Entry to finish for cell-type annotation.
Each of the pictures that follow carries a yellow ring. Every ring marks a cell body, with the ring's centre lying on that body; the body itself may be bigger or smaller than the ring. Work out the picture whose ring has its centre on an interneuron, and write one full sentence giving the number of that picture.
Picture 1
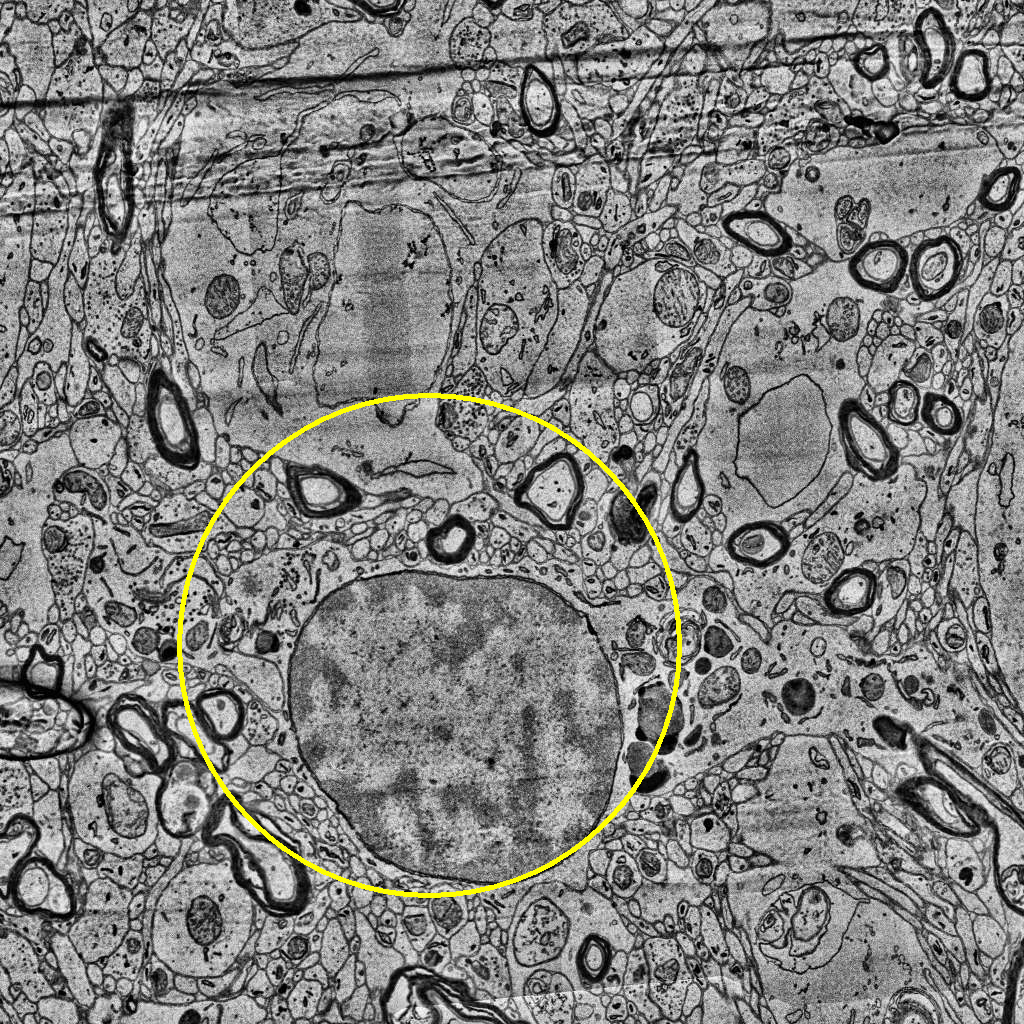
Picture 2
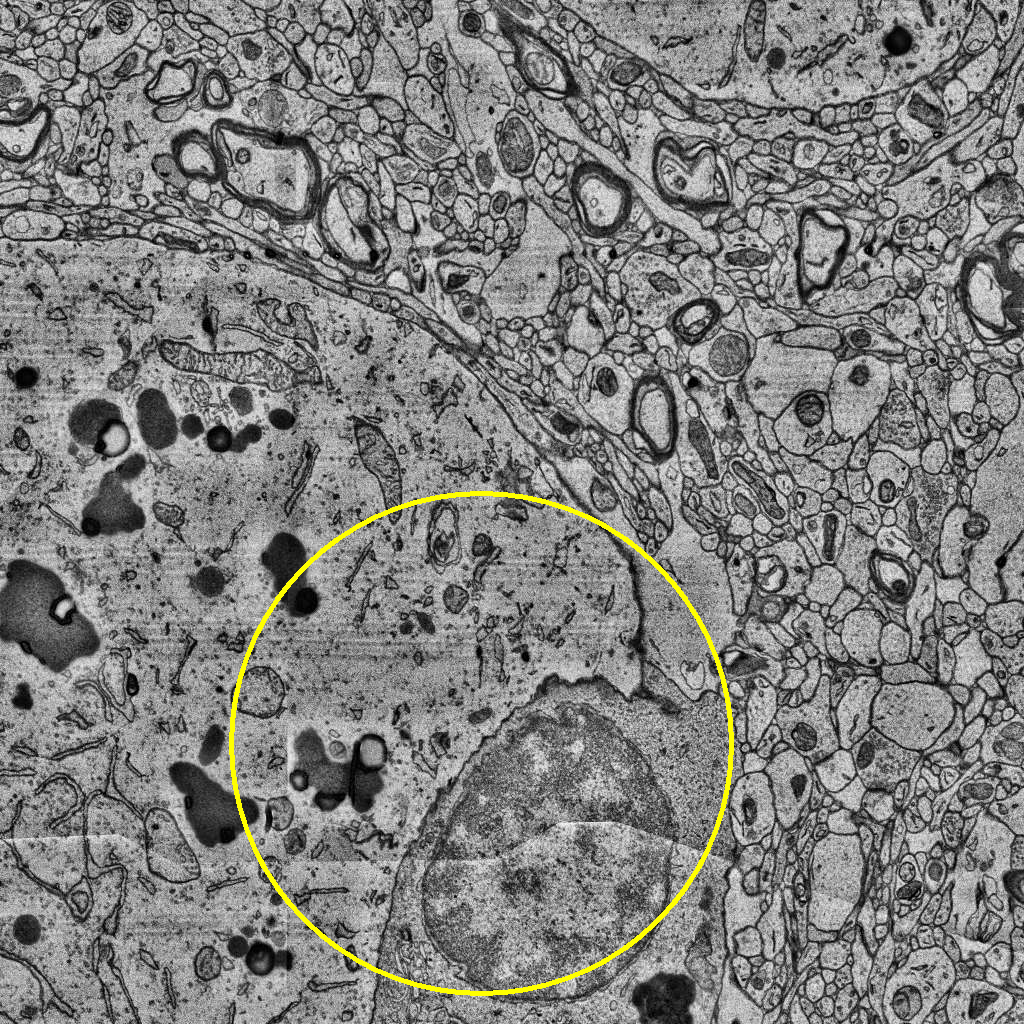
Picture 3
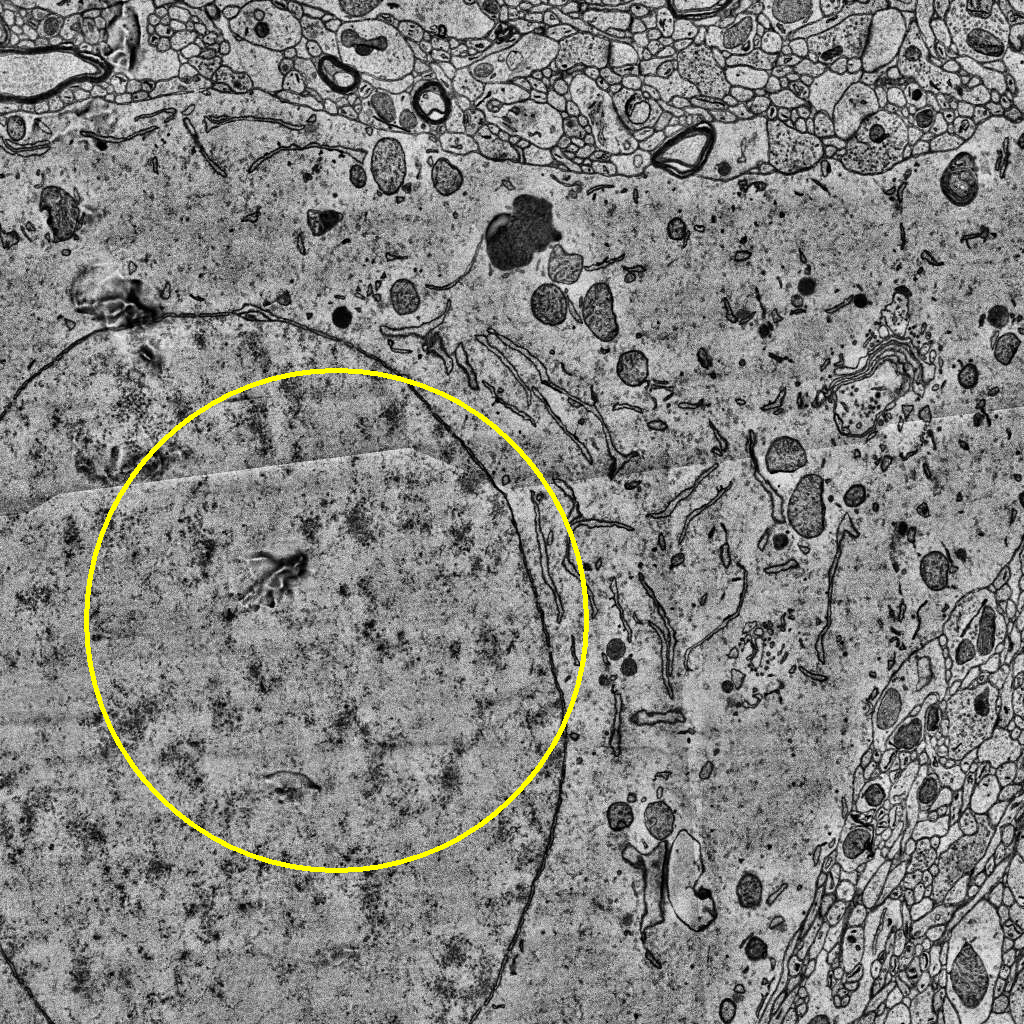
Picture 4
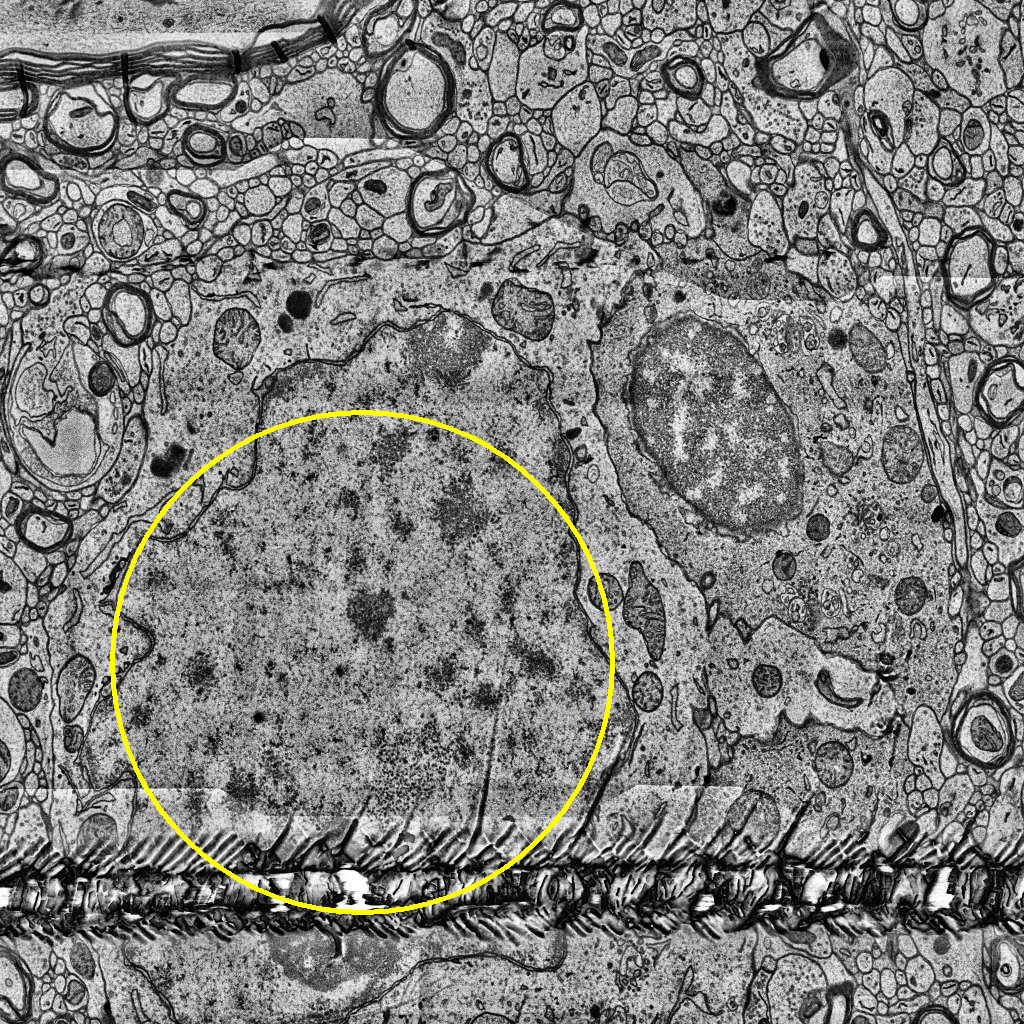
The cell lying at the ring's centre in picture 4 matches the request.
